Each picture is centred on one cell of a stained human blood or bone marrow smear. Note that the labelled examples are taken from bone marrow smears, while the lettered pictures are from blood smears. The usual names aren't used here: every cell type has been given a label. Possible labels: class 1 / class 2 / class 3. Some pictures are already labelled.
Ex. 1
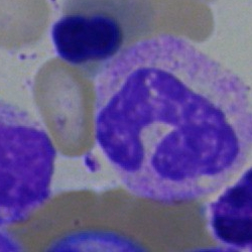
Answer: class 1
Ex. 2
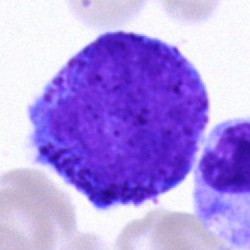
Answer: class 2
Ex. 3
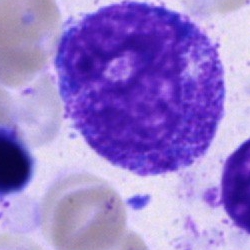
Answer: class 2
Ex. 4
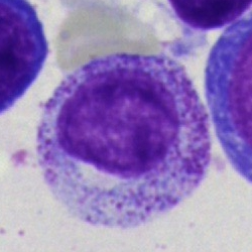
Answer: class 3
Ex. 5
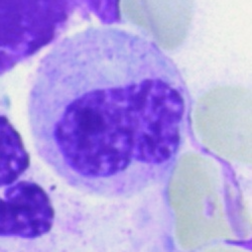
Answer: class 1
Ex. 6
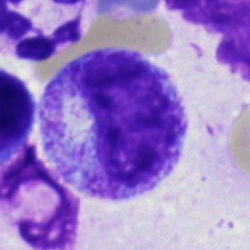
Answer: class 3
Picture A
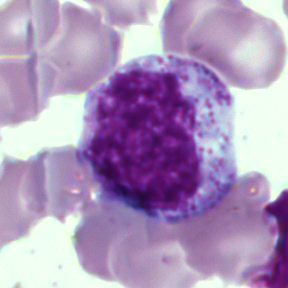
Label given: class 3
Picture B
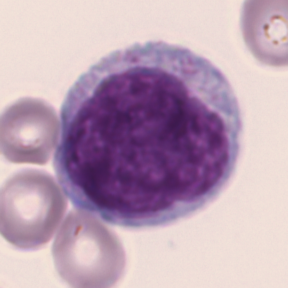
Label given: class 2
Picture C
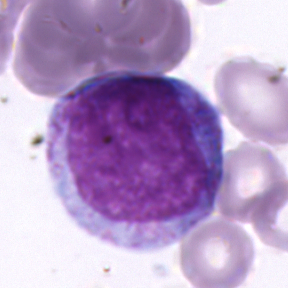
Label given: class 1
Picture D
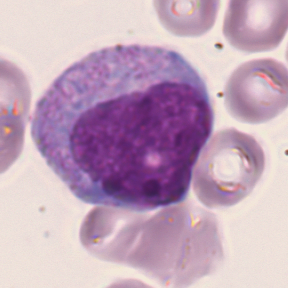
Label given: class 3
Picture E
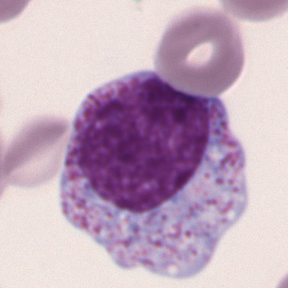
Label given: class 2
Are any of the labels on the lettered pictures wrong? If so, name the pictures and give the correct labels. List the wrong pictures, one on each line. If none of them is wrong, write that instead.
C: not class 1 but class 2
D: not class 3 but class 2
